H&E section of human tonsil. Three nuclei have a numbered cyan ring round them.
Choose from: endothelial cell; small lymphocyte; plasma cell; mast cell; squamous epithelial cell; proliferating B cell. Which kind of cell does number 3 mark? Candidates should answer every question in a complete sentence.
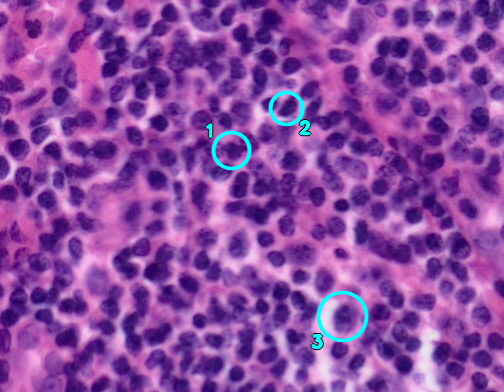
The cell whose nucleus carries the number 3 is a proliferating B cell.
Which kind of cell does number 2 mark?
Number 2 among the marked cells is a small lymphocyte.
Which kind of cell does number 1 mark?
Cell 1 in the field of view is a small lymphocyte.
